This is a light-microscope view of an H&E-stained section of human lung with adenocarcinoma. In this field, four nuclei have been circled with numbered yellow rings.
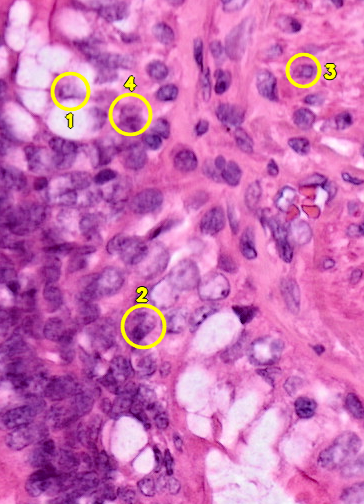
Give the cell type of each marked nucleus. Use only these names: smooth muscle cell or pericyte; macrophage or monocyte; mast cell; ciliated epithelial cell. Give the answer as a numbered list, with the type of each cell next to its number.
1. ciliated epithelial cell
2. ciliated epithelial cell
3. smooth muscle cell or pericyte
4. ciliated epithelial cell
